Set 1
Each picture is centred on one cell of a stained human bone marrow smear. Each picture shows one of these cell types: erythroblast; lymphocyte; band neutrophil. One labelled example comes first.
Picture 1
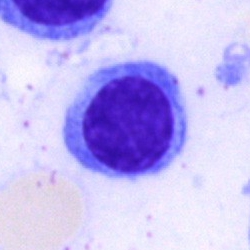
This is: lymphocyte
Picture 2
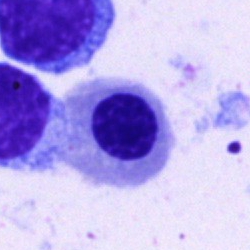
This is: erythroblast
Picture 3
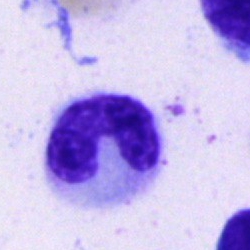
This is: band neutrophil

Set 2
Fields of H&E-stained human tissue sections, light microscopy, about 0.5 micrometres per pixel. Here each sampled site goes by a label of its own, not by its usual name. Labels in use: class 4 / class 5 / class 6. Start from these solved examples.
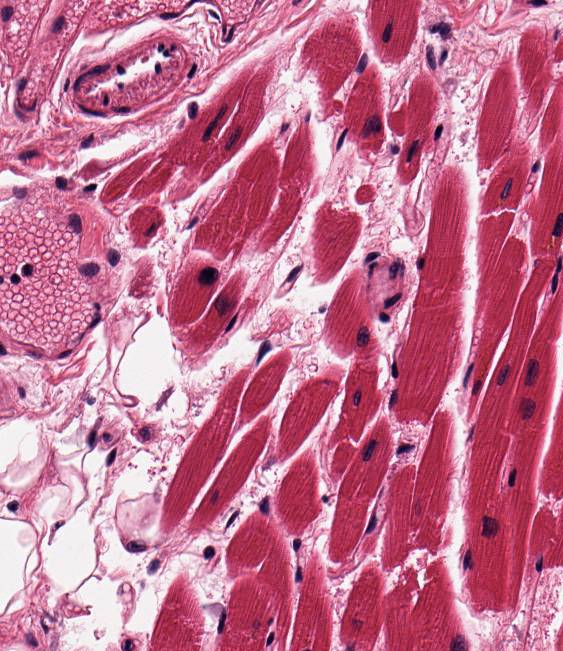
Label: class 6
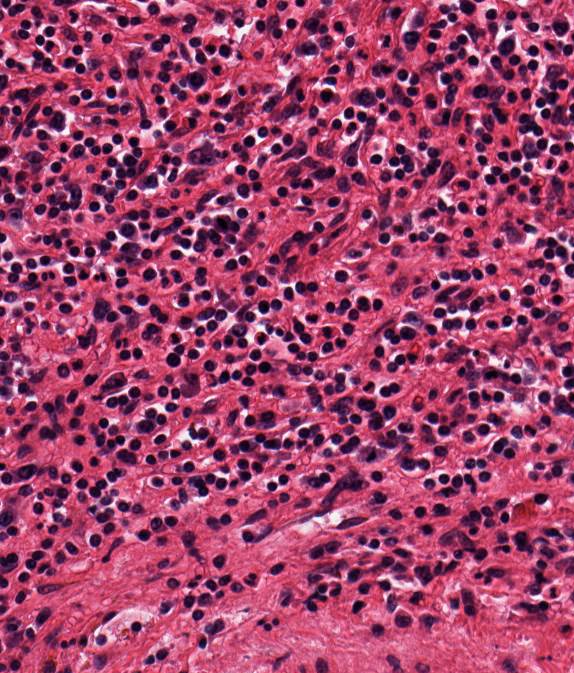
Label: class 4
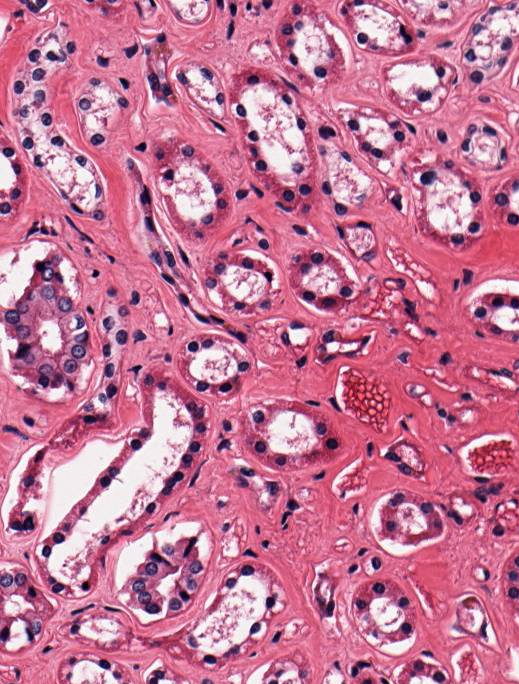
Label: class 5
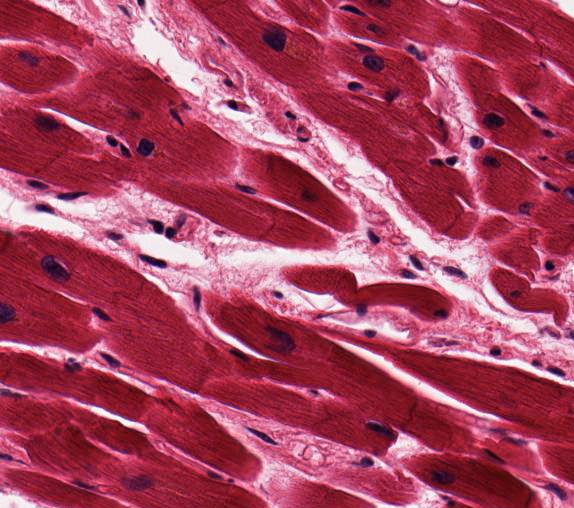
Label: class 6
